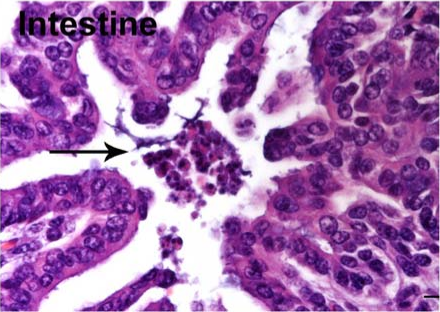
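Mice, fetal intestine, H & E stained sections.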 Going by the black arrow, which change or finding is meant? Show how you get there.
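A clump of small cells with dark, lobed nuclei lies in the lumen between villi. The clump is set apart from the columnar epithelium lining the villi.
Conclusion: neutrophilic infiltrates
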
